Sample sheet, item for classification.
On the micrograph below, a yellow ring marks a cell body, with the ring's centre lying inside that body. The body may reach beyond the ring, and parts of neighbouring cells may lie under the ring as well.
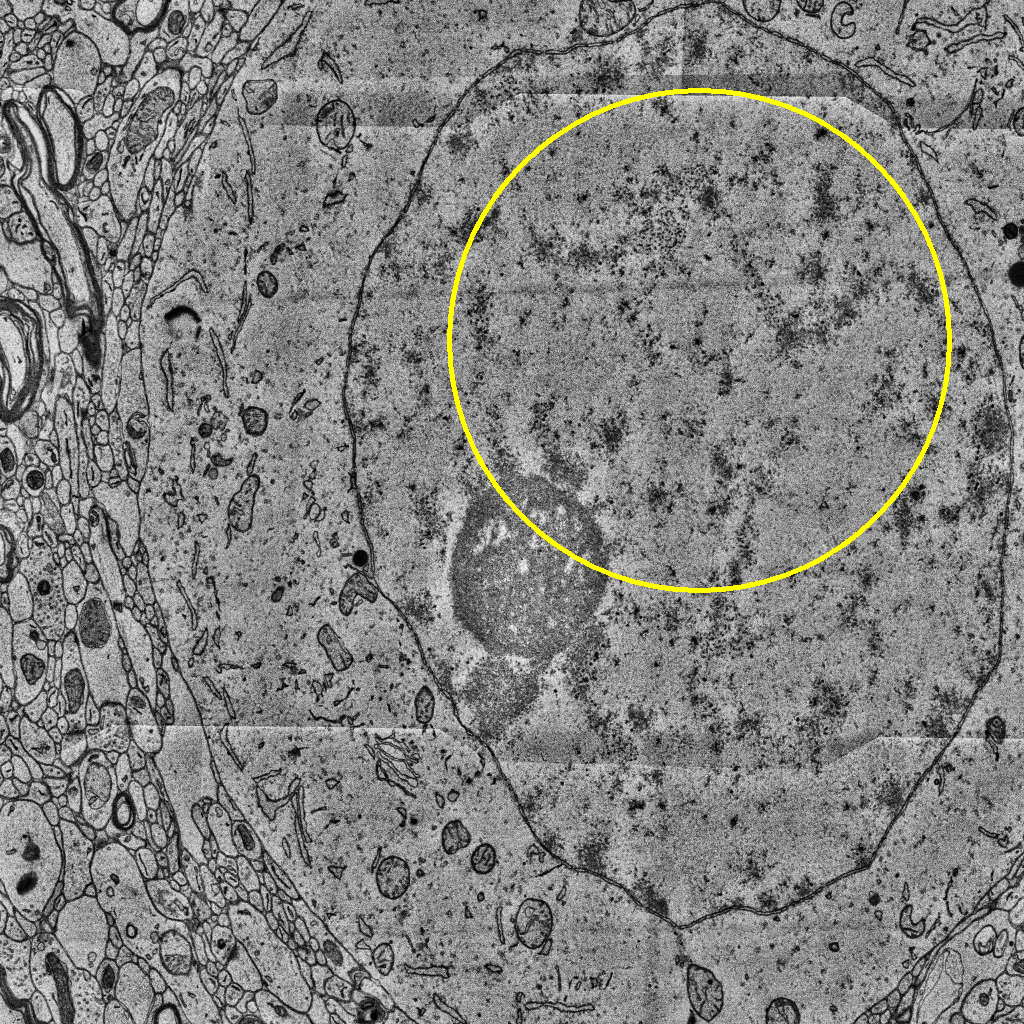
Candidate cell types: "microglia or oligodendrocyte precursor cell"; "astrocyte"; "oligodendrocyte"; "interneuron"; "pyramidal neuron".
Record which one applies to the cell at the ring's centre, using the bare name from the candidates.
pyramidal neuron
